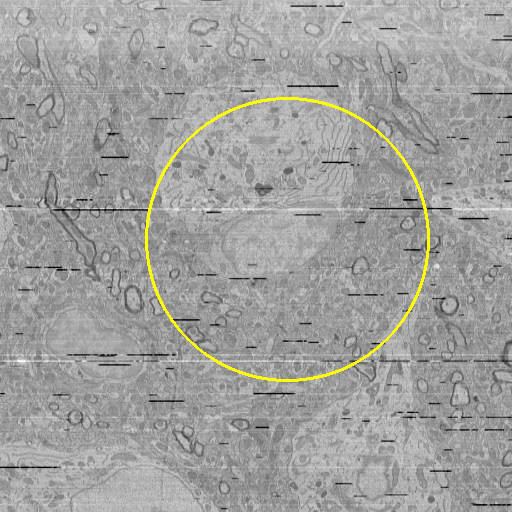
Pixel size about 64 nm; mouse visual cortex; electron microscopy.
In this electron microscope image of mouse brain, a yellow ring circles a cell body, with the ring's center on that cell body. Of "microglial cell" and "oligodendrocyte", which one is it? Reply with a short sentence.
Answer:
It is an oligodendrocyte at the center of the ring.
